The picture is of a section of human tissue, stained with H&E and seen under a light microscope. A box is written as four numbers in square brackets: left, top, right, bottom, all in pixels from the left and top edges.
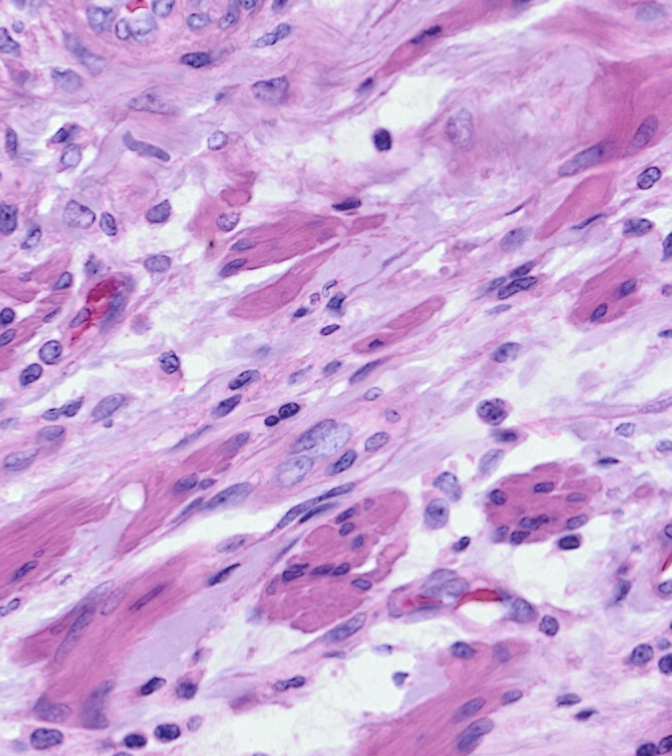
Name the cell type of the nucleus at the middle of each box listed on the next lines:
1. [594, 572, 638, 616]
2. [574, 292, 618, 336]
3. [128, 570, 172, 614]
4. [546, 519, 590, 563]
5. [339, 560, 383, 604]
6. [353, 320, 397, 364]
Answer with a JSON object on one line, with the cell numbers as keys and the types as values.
{"1": "fibroblast", "2": "smooth muscle cell", "3": "smooth muscle cell", "4": "lymphocyte", "5": "smooth muscle cell", "6": "smooth muscle cell"}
